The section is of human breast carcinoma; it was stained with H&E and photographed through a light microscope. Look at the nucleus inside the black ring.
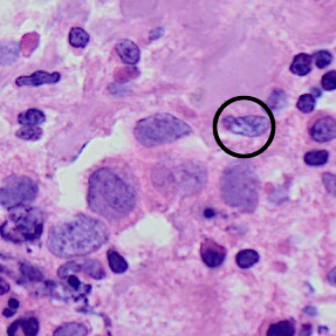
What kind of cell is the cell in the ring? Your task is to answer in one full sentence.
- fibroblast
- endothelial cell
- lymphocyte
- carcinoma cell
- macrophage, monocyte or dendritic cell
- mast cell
As classified here, the cell in the ring is a macrophage, monocyte or dendritic cell.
